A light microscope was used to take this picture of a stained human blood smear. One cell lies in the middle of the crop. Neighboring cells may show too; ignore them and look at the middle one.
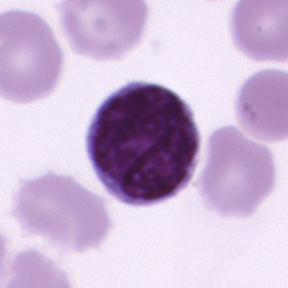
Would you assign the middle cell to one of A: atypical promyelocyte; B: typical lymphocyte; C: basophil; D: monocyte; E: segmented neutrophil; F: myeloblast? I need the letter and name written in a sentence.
The centrally located cell is a typical lymphocyte, making option B the correct choice.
